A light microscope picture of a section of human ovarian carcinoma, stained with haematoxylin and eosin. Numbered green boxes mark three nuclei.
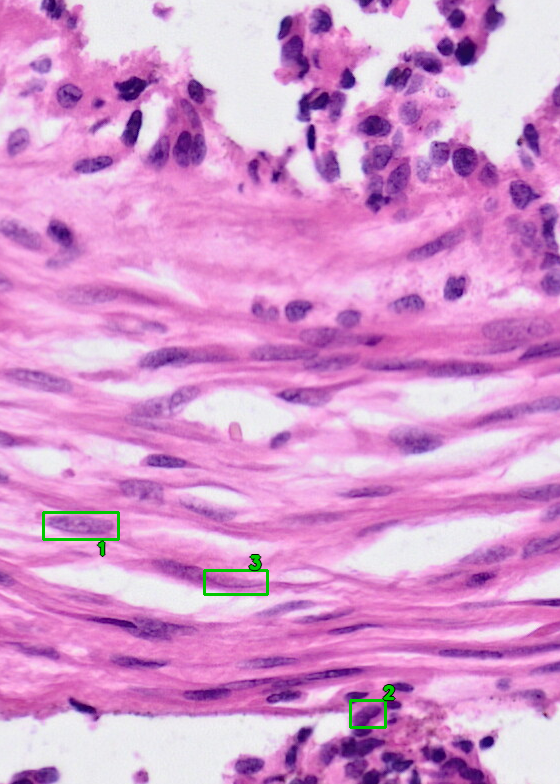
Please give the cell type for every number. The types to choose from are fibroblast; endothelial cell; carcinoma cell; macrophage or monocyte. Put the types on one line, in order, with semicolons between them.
fibroblast; carcinoma cell; fibroblast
